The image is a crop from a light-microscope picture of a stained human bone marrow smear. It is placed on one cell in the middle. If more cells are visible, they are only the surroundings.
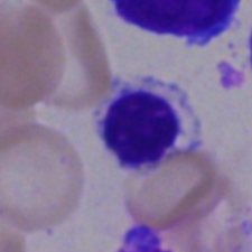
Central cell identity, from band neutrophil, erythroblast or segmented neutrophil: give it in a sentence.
Present in the middle of the crop is an erythroblast.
